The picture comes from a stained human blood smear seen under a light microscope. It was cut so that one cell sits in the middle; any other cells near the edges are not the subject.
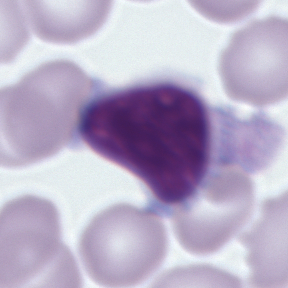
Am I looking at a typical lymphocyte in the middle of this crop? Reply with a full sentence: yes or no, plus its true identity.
Yes, the cell in the center of the field is a typical lymphocyte.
